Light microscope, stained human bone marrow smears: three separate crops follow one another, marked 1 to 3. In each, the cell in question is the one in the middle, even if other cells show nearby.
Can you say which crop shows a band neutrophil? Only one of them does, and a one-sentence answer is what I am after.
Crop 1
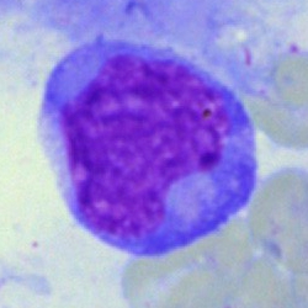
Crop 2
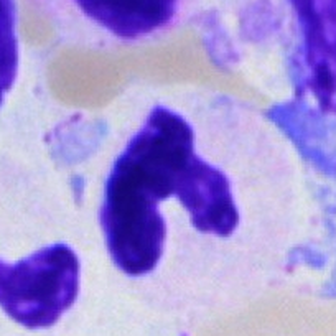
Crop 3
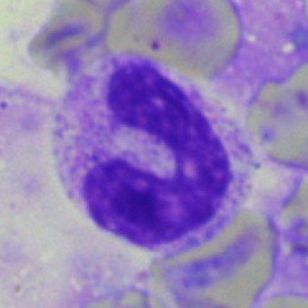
Crop 3 is the crop that displays a band neutrophil.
